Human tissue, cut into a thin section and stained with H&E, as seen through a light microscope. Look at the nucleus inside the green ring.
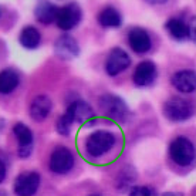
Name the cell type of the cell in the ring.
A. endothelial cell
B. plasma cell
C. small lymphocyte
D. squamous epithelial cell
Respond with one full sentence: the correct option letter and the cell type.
The correct identification, the cell in the ring as a plasma cell, is given by option B.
